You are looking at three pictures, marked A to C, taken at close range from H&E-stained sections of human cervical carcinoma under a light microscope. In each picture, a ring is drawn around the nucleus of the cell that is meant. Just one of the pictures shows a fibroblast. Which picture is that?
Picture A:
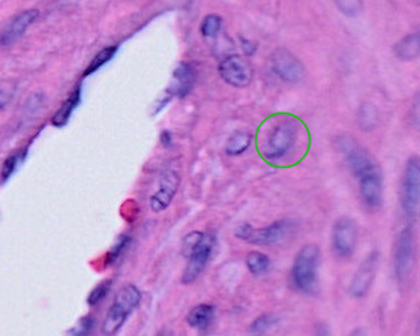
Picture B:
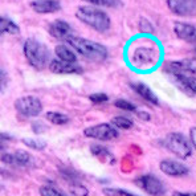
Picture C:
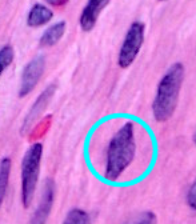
C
